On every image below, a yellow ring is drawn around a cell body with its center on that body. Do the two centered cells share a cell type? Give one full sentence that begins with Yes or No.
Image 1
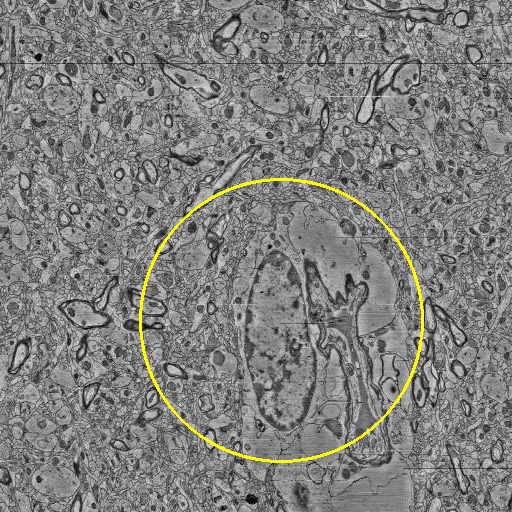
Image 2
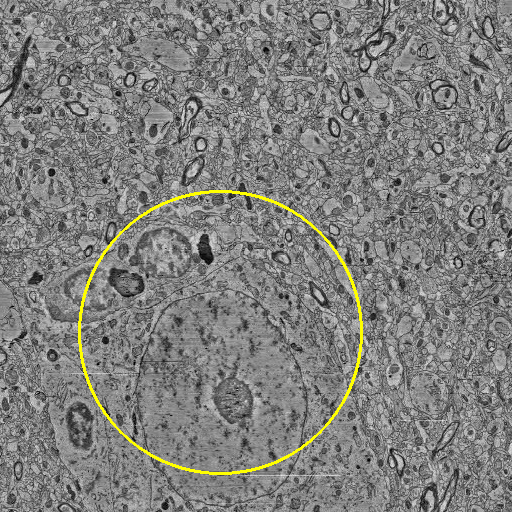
No, the centered cells in the two images are of two separate cell types.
